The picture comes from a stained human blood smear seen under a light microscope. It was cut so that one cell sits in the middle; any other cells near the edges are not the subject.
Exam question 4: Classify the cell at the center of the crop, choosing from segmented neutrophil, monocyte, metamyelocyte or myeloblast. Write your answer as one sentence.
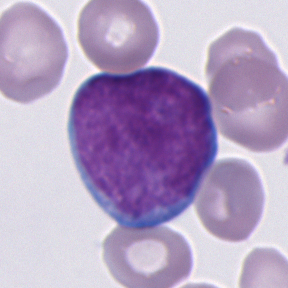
This particular crop is centered on a myeloblast.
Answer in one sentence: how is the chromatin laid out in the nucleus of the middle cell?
The chromatin here is fine and lacks any coarse clumps.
